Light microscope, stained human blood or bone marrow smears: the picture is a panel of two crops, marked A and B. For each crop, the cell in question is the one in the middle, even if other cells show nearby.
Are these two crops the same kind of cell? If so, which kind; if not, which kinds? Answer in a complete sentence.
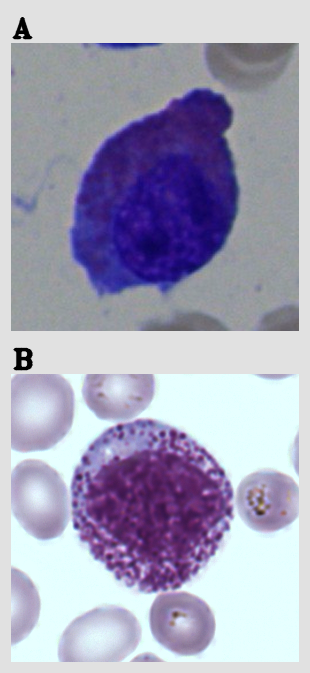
No, crop A matches an eosinophil and crop B matches a myelocyte.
